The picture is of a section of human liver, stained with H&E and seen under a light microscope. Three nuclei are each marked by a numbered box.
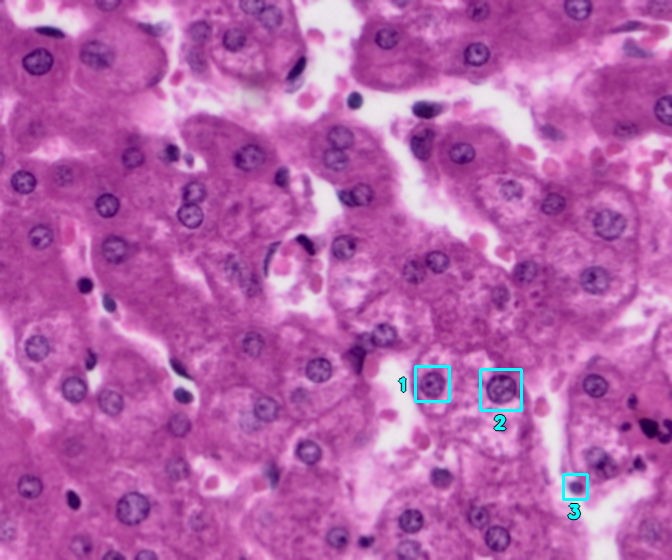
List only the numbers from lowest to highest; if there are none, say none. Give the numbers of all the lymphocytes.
3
